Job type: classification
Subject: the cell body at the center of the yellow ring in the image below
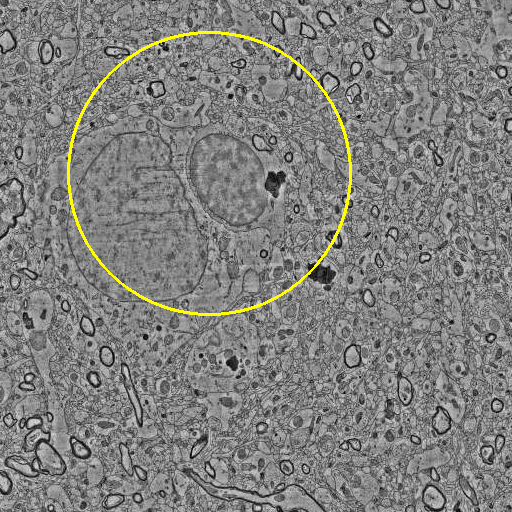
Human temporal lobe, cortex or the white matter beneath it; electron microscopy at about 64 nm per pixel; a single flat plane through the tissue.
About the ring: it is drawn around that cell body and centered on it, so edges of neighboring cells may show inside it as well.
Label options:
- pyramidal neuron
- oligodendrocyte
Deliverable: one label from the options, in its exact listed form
oligodendrocyte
